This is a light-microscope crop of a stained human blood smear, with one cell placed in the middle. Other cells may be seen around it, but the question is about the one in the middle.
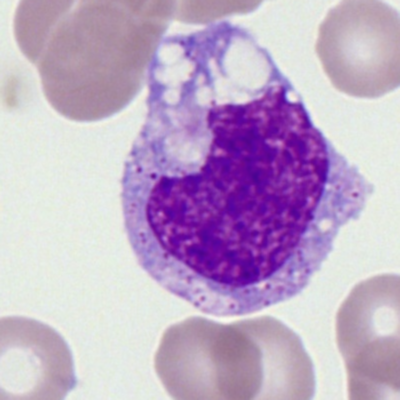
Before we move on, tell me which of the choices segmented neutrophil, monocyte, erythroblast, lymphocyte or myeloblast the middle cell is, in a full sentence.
This crop's central cell is a monocyte.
